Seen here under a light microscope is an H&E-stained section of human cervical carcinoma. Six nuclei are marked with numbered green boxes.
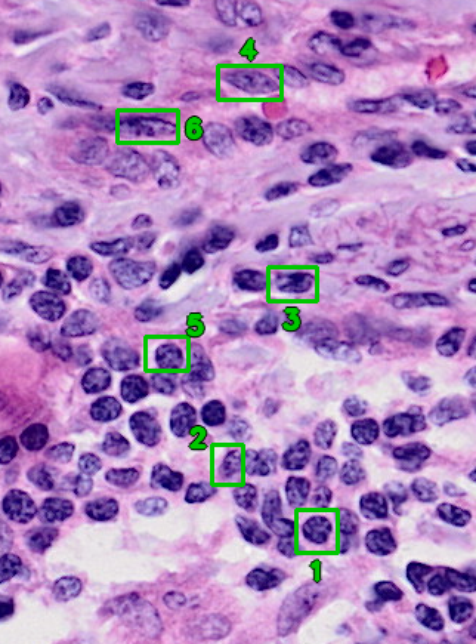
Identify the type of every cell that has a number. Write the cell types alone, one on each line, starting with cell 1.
lymphocyte
lymphocyte
lymphocyte
endothelial cell
lymphocyte
endothelial cell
